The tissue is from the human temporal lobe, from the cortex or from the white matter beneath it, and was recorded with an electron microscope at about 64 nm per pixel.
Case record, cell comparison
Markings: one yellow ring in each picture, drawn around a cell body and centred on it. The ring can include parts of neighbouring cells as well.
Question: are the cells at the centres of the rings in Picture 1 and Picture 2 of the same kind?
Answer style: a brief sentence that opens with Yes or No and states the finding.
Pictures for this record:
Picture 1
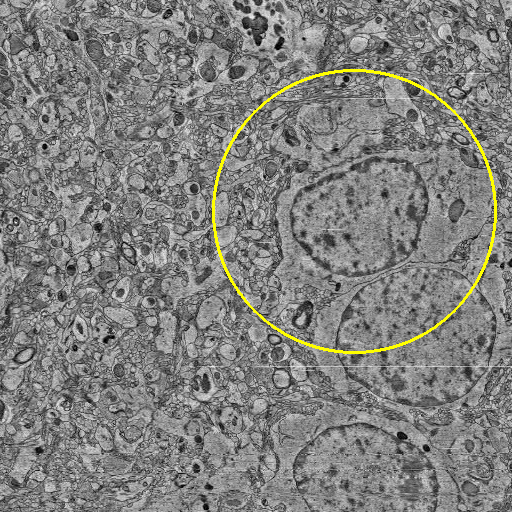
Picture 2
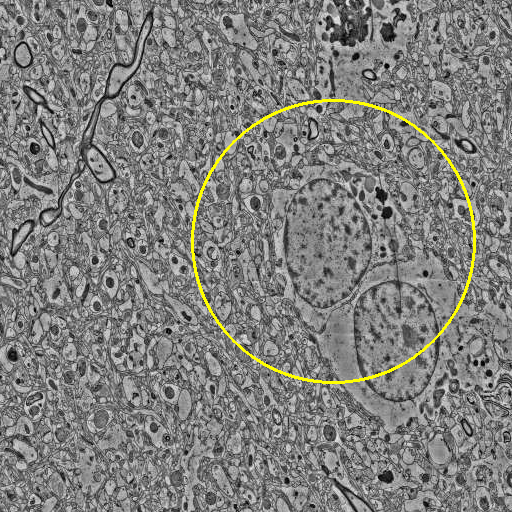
Yes, the cells in Picture 1 and Picture 2 are of the same kind.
